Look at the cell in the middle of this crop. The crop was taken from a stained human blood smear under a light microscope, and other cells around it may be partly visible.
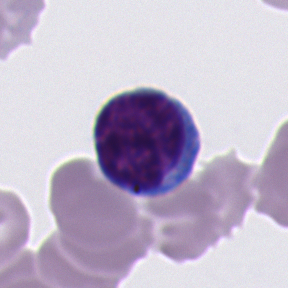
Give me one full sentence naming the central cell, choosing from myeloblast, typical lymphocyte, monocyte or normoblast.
The identification for the central cell is a typical lymphocyte.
